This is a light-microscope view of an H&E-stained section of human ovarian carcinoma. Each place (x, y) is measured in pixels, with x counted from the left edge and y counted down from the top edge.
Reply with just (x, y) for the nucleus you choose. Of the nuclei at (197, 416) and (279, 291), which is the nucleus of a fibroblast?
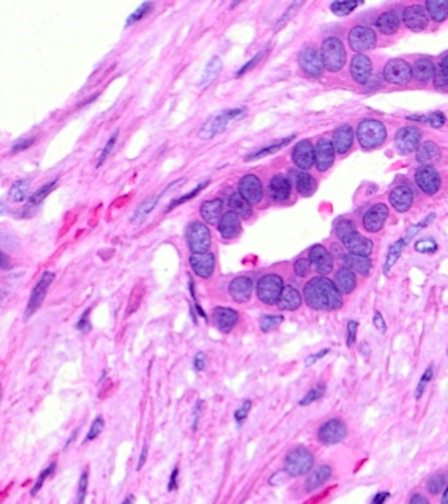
(197, 416)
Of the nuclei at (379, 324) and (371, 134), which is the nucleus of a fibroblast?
(379, 324)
